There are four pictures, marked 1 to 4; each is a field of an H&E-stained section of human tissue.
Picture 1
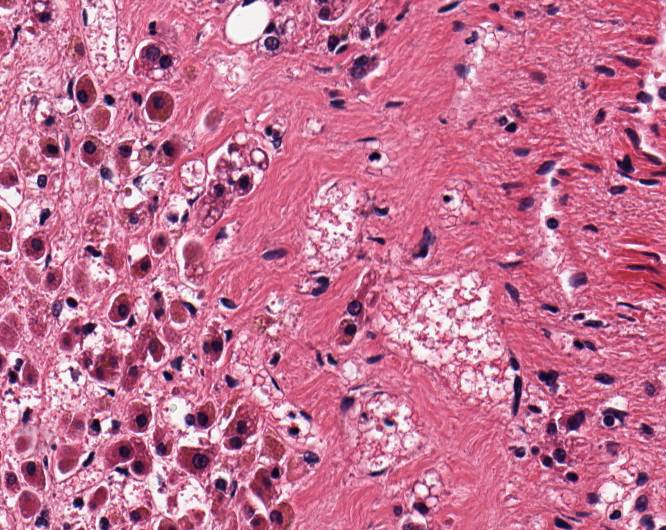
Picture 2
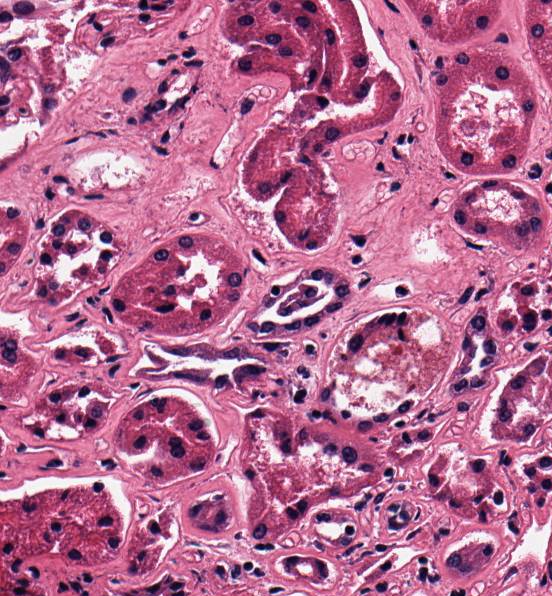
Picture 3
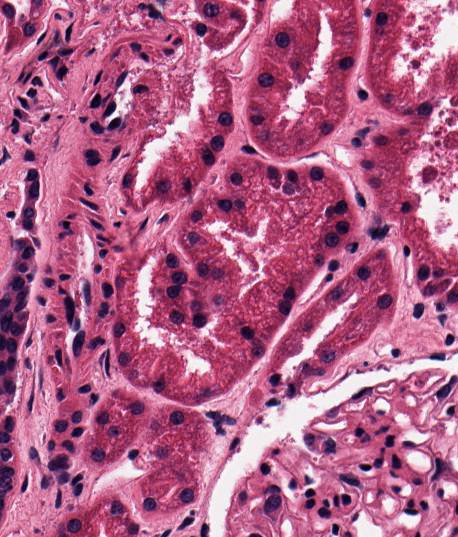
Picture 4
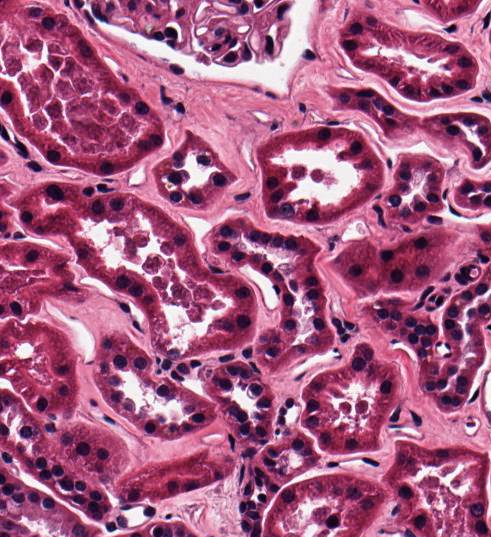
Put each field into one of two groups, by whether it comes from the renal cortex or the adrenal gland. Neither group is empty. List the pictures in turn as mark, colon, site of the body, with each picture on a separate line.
1: adrenal gland
2: renal cortex
3: renal cortex
4: renal cortex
